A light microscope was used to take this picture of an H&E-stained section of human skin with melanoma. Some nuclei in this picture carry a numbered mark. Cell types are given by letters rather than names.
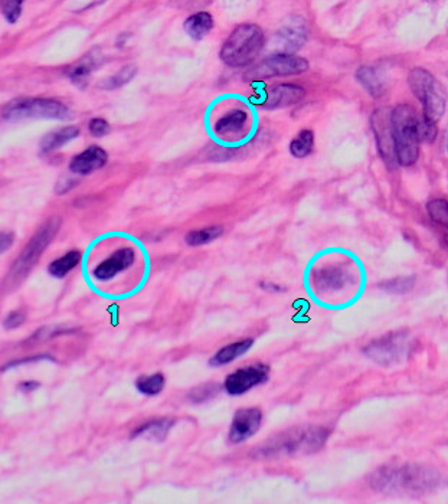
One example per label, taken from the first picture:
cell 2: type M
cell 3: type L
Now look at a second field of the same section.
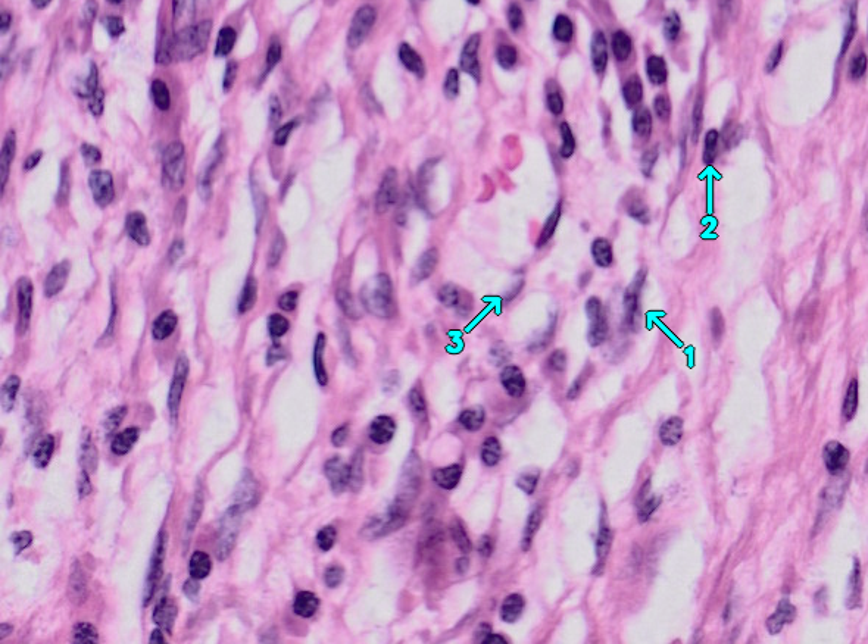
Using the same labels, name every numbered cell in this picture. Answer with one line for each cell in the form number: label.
1: type M
2: type L
3: type M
